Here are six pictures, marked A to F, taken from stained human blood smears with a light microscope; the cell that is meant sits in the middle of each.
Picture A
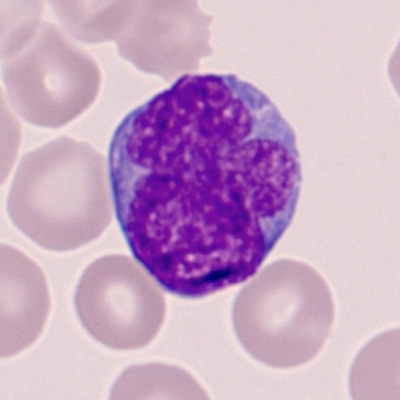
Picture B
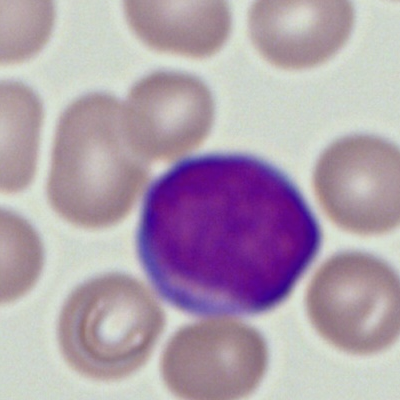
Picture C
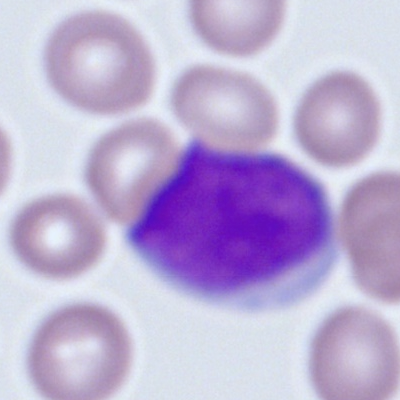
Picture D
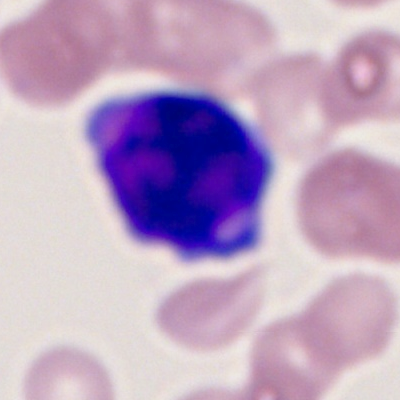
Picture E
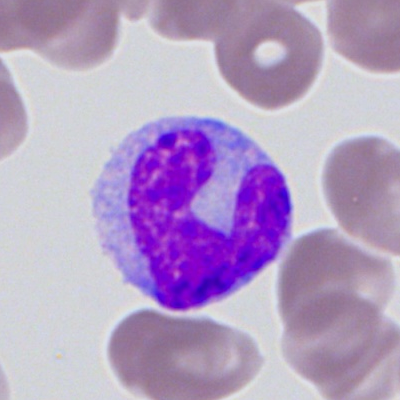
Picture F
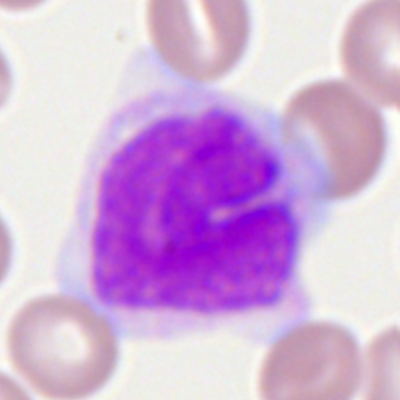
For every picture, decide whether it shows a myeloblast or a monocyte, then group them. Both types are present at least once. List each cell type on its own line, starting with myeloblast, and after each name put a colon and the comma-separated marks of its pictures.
myeloblast: A, B, C, D
monocyte: E, F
